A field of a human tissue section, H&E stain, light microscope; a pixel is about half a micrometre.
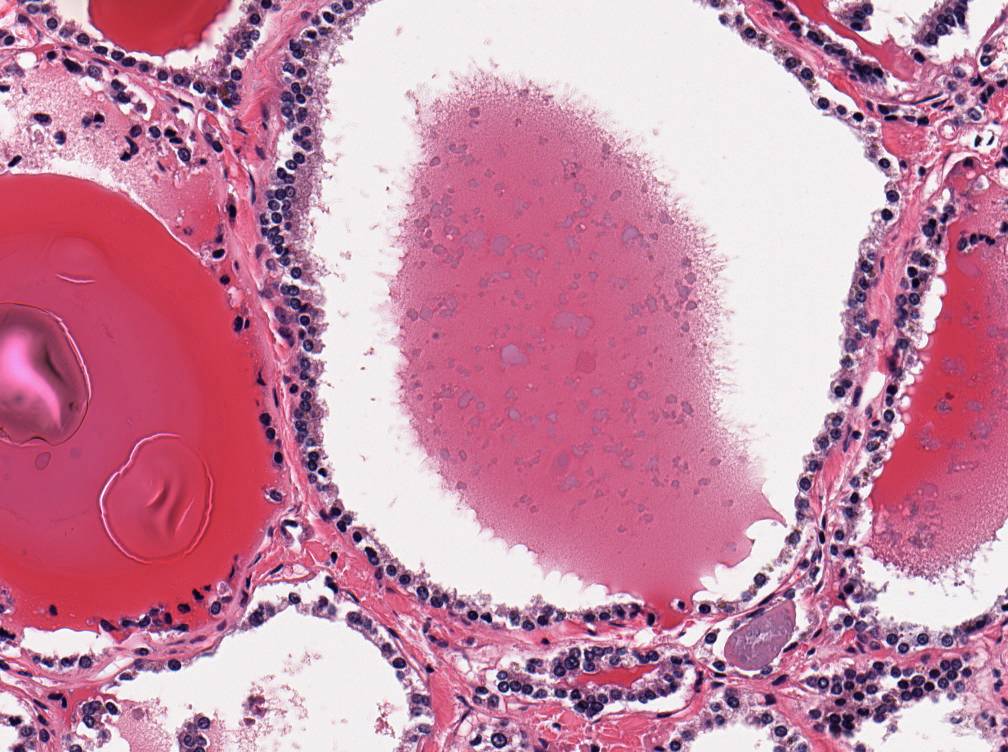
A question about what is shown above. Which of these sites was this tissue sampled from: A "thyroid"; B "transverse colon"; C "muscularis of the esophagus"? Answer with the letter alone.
A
